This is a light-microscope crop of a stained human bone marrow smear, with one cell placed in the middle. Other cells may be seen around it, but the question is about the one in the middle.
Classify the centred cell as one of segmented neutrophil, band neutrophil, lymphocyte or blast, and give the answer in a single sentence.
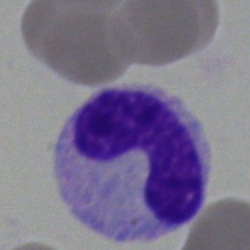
The cell at the middle of the frame should be recorded as a band neutrophil.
